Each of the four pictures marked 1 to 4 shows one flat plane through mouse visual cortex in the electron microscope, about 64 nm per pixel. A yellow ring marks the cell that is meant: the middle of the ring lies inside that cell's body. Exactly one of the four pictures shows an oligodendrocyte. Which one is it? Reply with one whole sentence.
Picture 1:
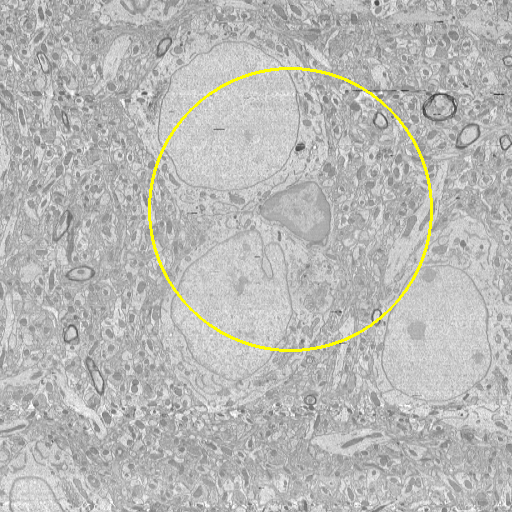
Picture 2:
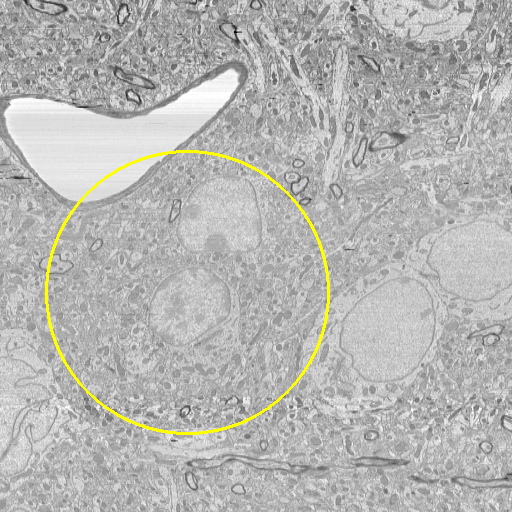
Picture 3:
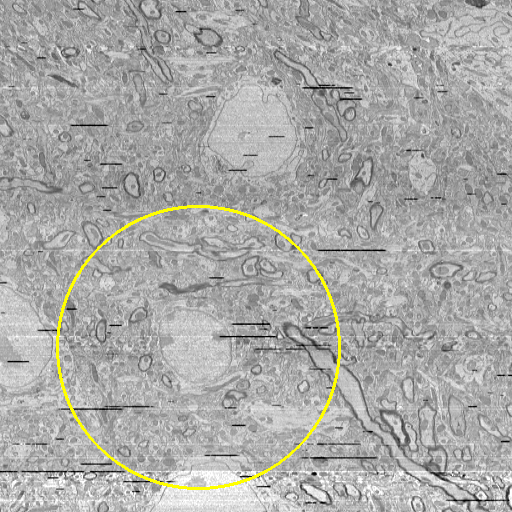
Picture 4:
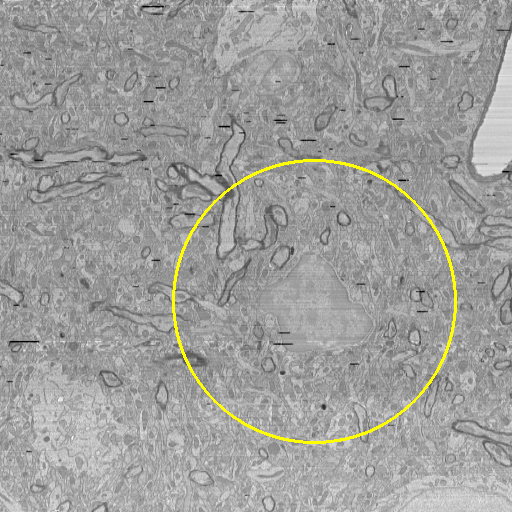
It is picture 2 that shows the oligodendrocyte.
